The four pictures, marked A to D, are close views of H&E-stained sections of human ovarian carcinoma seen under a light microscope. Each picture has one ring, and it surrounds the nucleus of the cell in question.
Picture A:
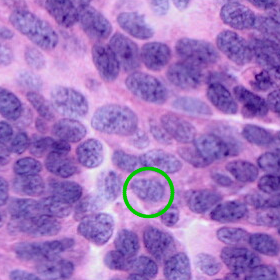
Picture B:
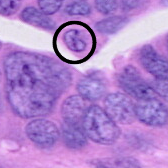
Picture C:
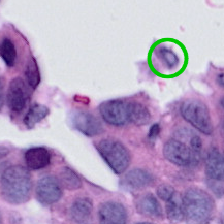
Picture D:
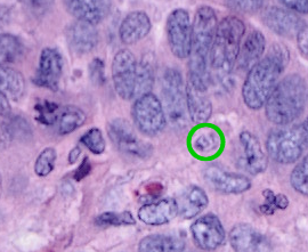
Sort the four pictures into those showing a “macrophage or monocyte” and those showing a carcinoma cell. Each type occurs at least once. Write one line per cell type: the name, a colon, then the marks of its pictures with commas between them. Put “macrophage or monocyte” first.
macrophage or monocyte: B, C, D
carcinoma cell: A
